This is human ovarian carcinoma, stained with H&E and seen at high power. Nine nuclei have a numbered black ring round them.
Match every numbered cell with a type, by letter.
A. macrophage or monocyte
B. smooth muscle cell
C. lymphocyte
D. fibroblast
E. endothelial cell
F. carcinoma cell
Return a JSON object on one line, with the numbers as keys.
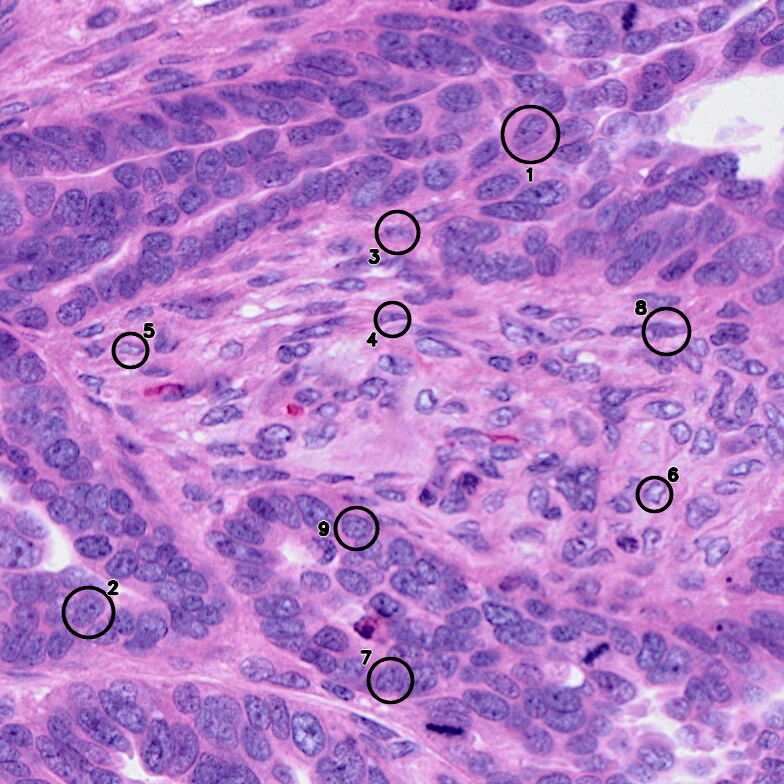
{"1": "F", "2": "F", "3": "D", "4": "D", "5": "D", "6": "D", "7": "F", "8": "D", "9": "F"}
